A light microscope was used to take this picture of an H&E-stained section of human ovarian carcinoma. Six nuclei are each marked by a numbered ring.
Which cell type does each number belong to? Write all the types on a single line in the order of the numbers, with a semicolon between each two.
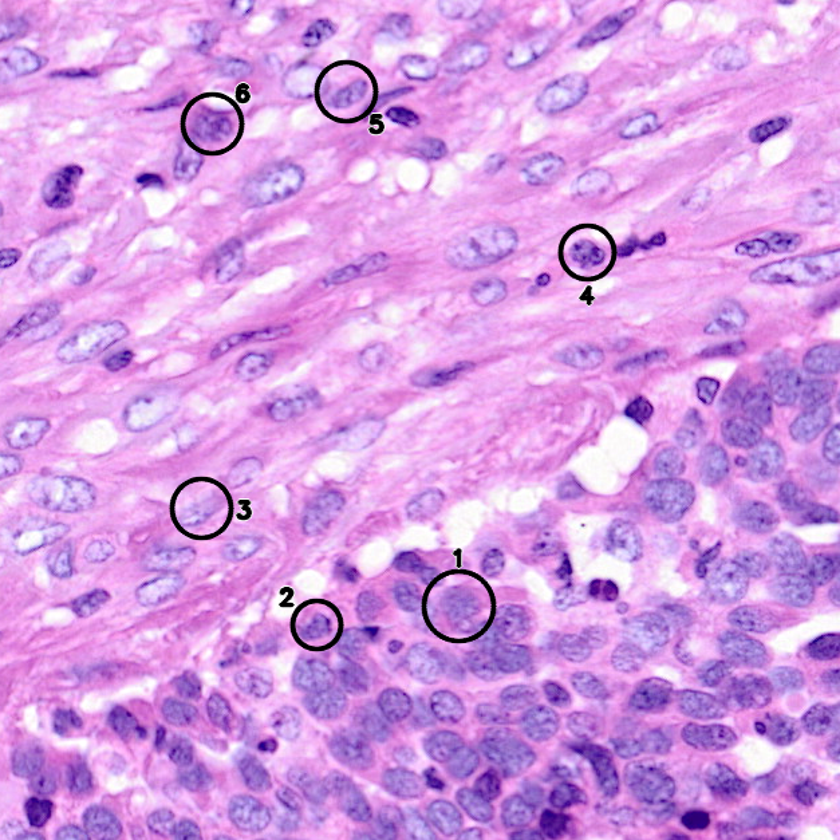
carcinoma cell; macrophage or monocyte; fibroblast; lymphocyte; macrophage or monocyte; endothelial cell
